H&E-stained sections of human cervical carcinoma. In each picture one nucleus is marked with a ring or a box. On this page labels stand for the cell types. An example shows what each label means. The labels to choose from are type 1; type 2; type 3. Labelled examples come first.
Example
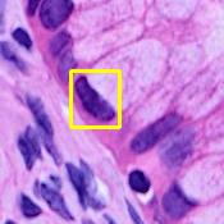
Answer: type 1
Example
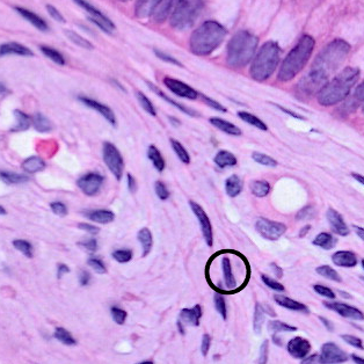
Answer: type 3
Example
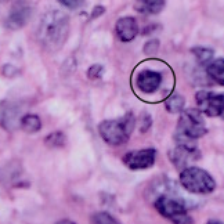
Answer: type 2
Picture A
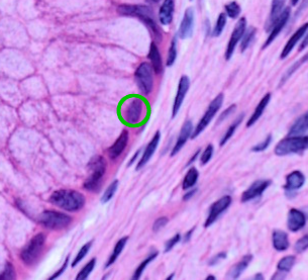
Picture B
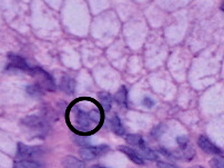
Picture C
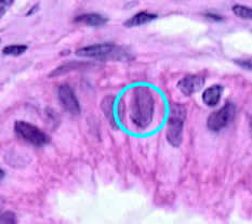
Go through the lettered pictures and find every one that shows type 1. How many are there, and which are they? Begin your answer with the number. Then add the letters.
3: A, B, C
